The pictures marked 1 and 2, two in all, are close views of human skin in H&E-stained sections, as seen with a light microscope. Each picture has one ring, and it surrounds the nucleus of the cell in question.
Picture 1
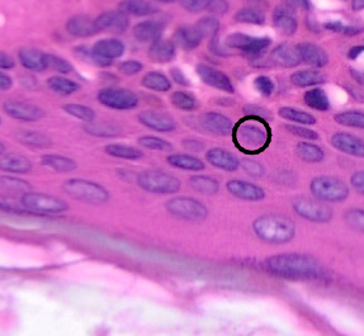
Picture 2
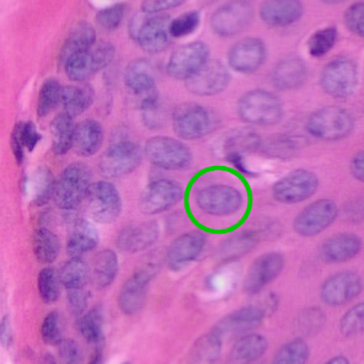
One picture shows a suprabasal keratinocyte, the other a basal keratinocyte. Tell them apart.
1: basal keratinocyte
2: suprabasal keratinocyte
